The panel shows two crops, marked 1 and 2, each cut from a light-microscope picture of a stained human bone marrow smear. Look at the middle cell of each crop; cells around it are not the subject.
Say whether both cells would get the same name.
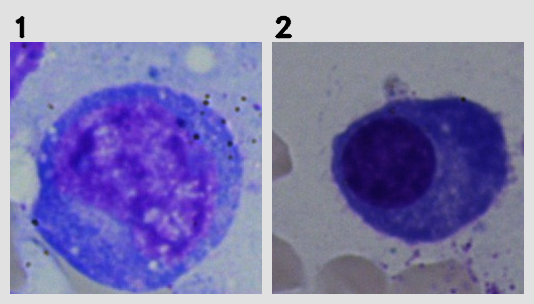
no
